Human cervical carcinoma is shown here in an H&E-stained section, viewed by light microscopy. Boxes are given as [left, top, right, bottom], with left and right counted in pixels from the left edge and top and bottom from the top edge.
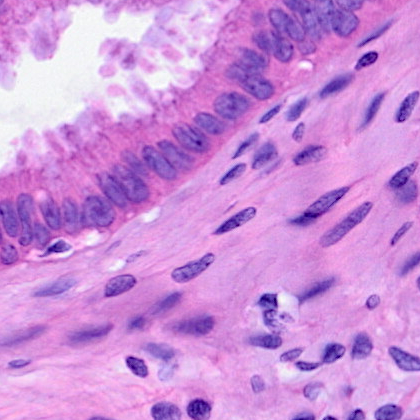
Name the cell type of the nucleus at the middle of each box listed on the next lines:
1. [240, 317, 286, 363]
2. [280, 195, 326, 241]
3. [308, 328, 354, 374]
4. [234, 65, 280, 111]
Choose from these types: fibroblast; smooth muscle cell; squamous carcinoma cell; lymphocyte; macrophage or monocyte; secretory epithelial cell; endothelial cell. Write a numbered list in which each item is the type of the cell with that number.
1. fibroblast
2. fibroblast
3. fibroblast
4. secretory epithelial cell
